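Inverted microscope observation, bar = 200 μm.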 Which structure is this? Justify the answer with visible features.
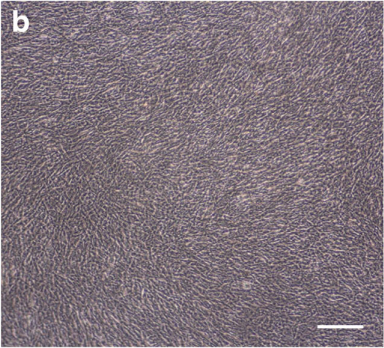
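A continuous, confluent layer of cells covers the whole field with no gaps. The cells are elongated and spindle-shaped. The cells lie side by side in swirling, intertwined streams. The answer: cell sheet.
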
